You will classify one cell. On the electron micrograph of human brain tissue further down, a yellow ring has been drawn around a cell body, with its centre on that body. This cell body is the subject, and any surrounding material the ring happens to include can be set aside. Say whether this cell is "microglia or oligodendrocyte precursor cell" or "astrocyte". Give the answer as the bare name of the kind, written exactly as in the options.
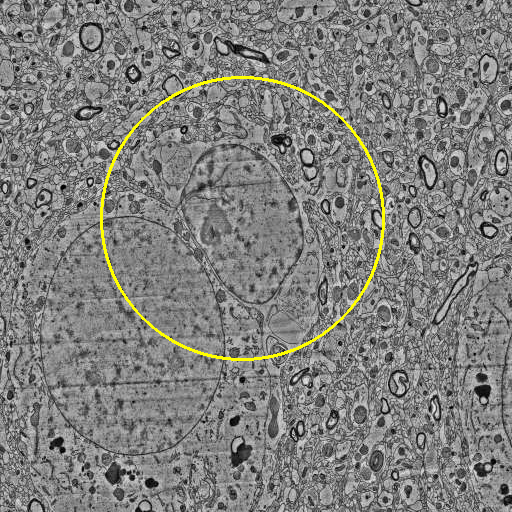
astrocyte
